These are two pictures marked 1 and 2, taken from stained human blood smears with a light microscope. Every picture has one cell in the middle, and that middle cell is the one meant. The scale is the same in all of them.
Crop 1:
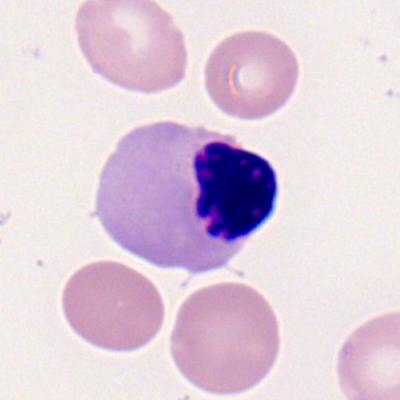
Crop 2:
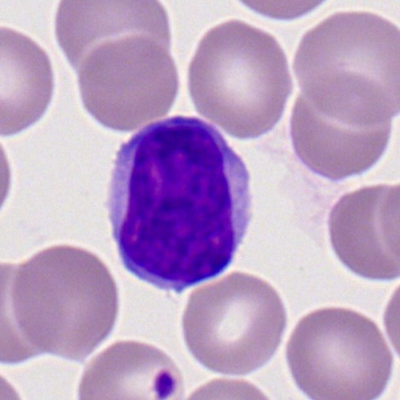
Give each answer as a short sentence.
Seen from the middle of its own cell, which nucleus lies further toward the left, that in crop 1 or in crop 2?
It is the nucleus in crop 2 that lies further toward the left of its cell.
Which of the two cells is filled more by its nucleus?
In crop 2 the nucleus takes up the larger part of its cell.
